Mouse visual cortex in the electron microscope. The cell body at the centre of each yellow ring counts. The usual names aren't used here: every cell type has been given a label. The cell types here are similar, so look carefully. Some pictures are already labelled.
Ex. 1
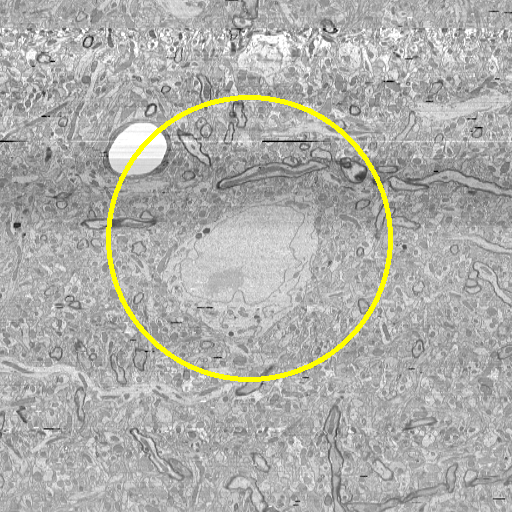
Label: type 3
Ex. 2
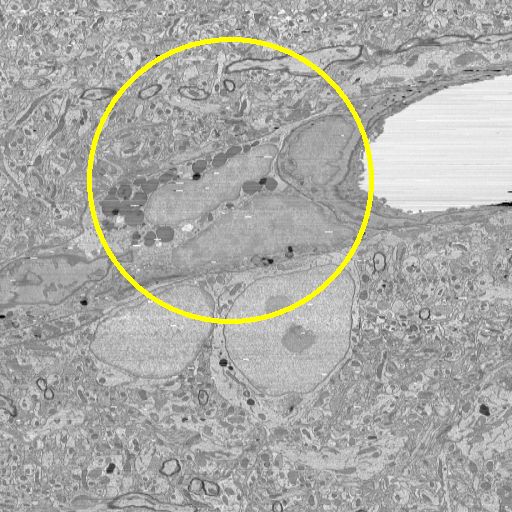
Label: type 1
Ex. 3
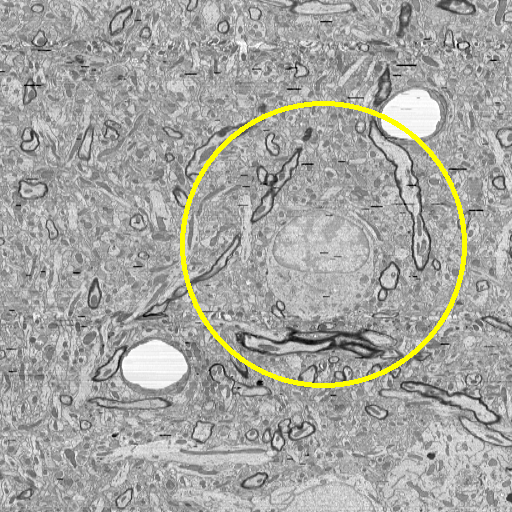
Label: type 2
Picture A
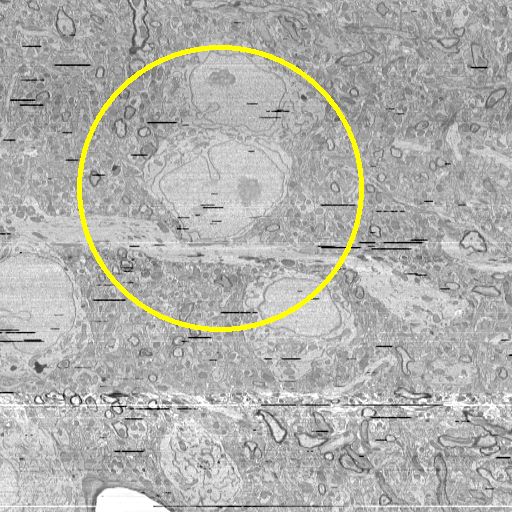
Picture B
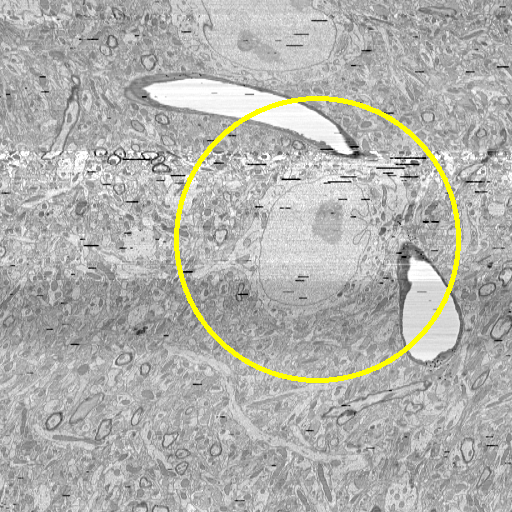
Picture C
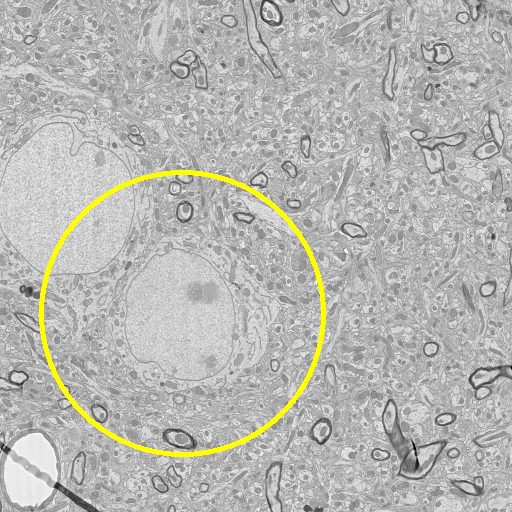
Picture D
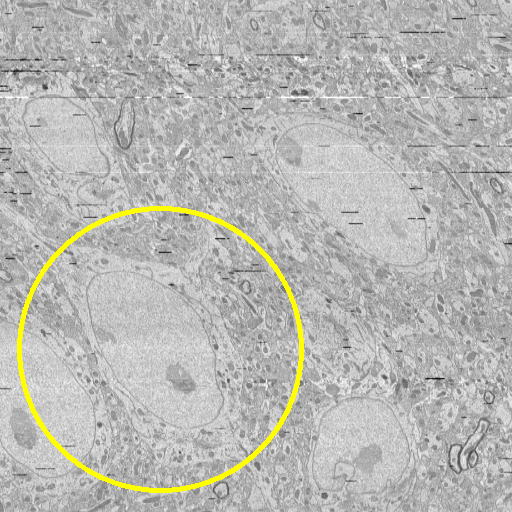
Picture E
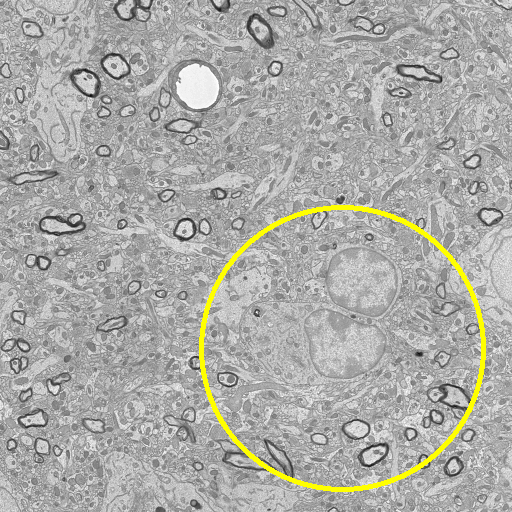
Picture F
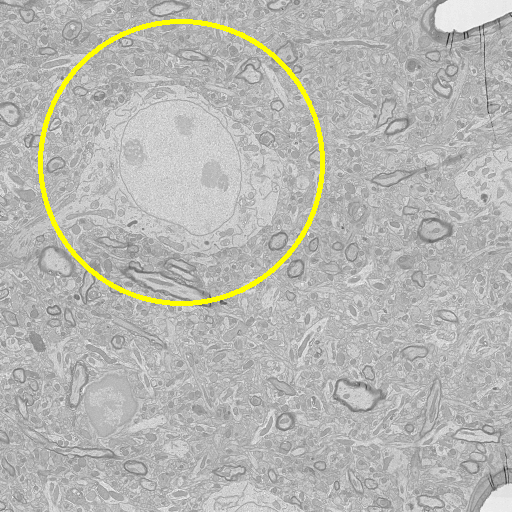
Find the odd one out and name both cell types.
Picture E: type 2. All others: type 3.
